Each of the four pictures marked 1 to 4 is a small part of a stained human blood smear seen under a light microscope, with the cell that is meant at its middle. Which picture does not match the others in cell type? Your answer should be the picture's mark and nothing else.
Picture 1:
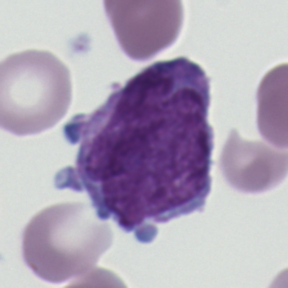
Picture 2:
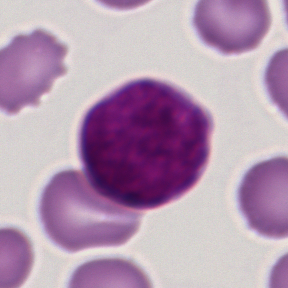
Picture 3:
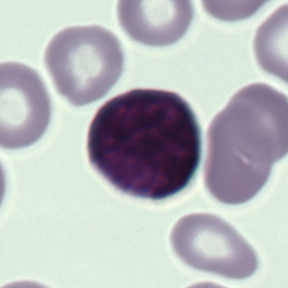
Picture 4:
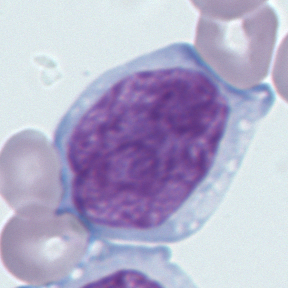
1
